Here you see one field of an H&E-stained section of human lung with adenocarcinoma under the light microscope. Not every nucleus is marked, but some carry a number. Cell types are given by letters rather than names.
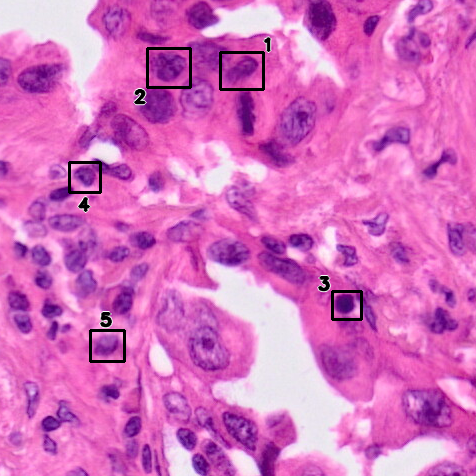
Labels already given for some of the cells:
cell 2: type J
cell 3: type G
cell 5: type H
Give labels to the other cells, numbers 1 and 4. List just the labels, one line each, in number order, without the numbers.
type J
type G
